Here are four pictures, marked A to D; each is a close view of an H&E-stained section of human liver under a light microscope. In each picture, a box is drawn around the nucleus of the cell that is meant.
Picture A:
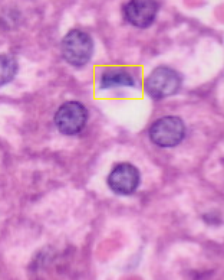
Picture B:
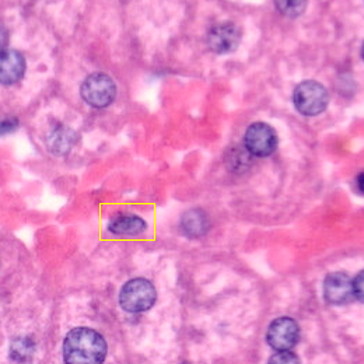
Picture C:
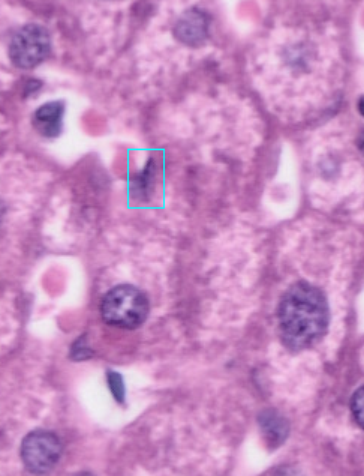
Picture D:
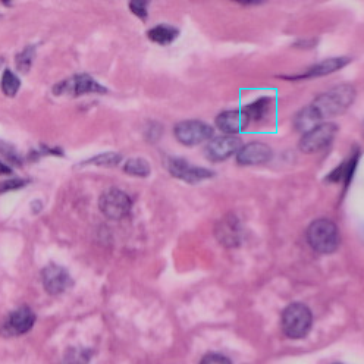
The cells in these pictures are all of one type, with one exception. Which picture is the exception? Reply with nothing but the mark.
D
